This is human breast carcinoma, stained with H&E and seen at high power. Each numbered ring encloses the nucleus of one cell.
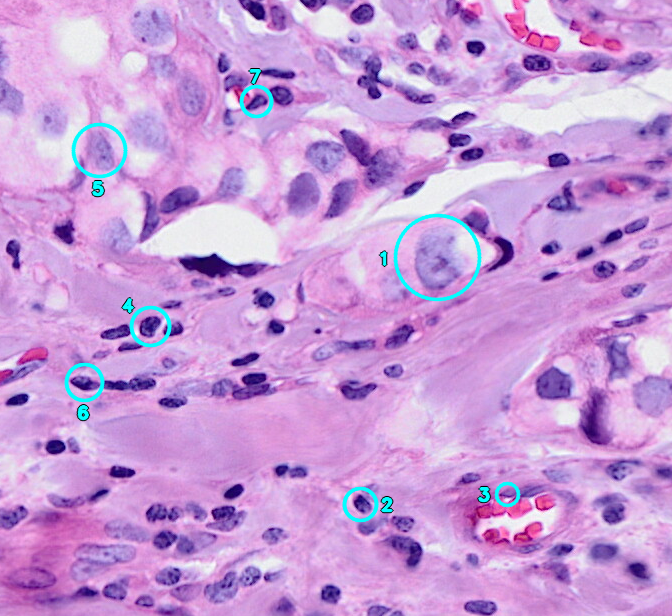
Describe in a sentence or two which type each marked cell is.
Cells 1 and 5 are carcinoma cells. Cells 2, 4 and 6 are lymphocytes. Cells 3 and 7 are endothelial cells.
